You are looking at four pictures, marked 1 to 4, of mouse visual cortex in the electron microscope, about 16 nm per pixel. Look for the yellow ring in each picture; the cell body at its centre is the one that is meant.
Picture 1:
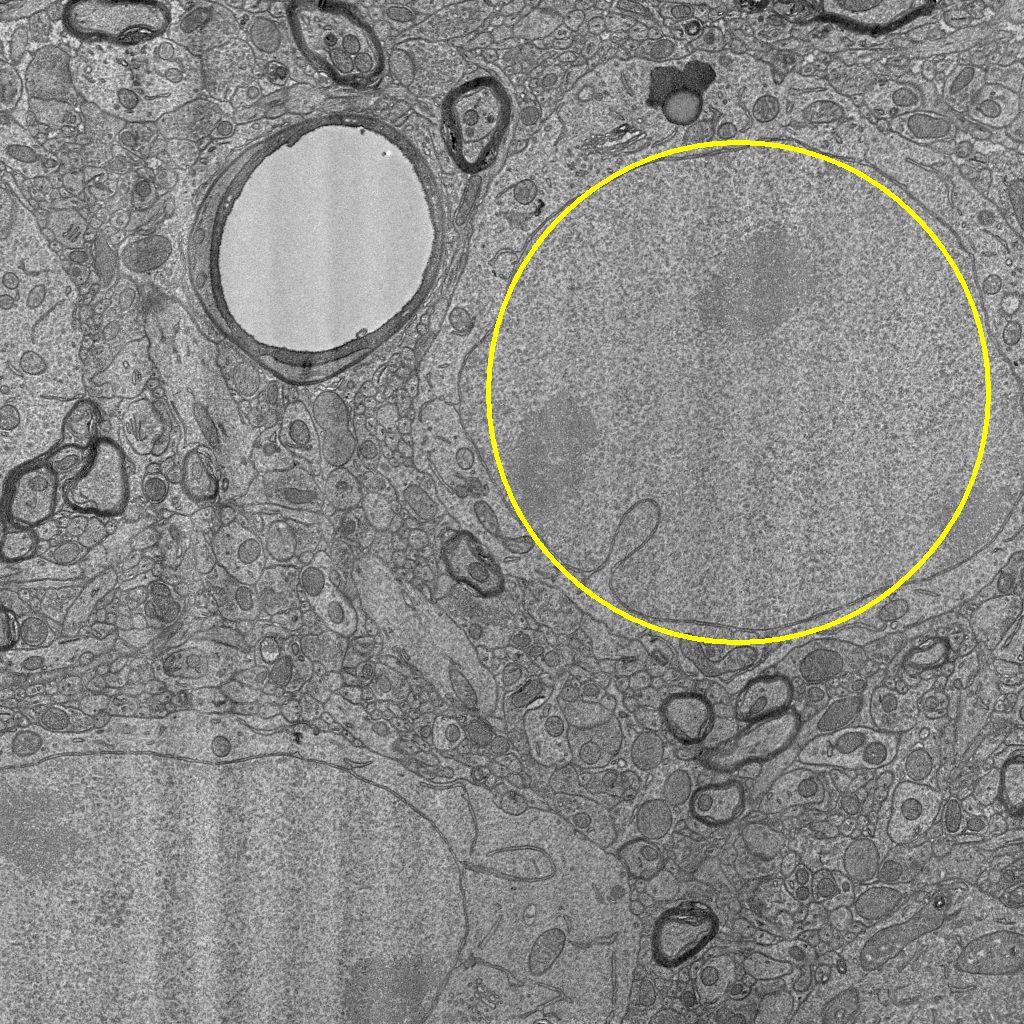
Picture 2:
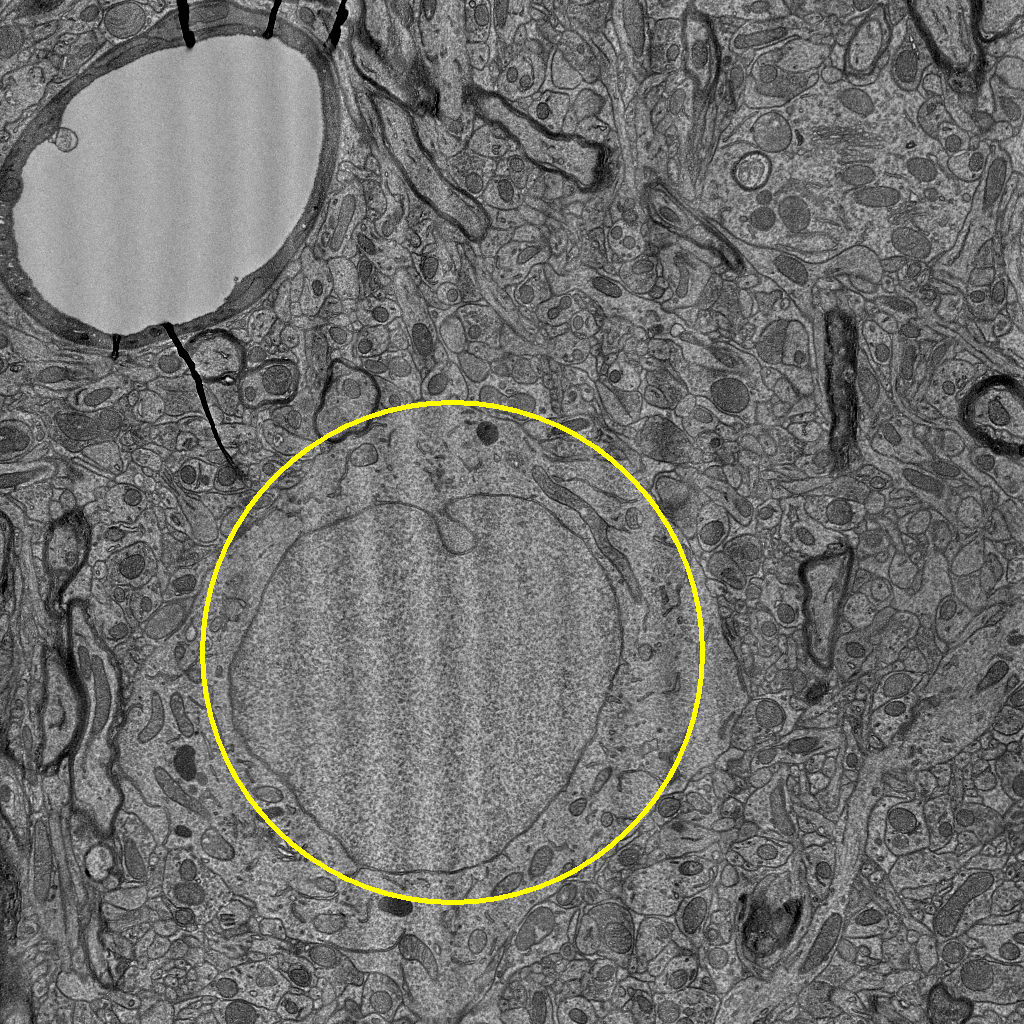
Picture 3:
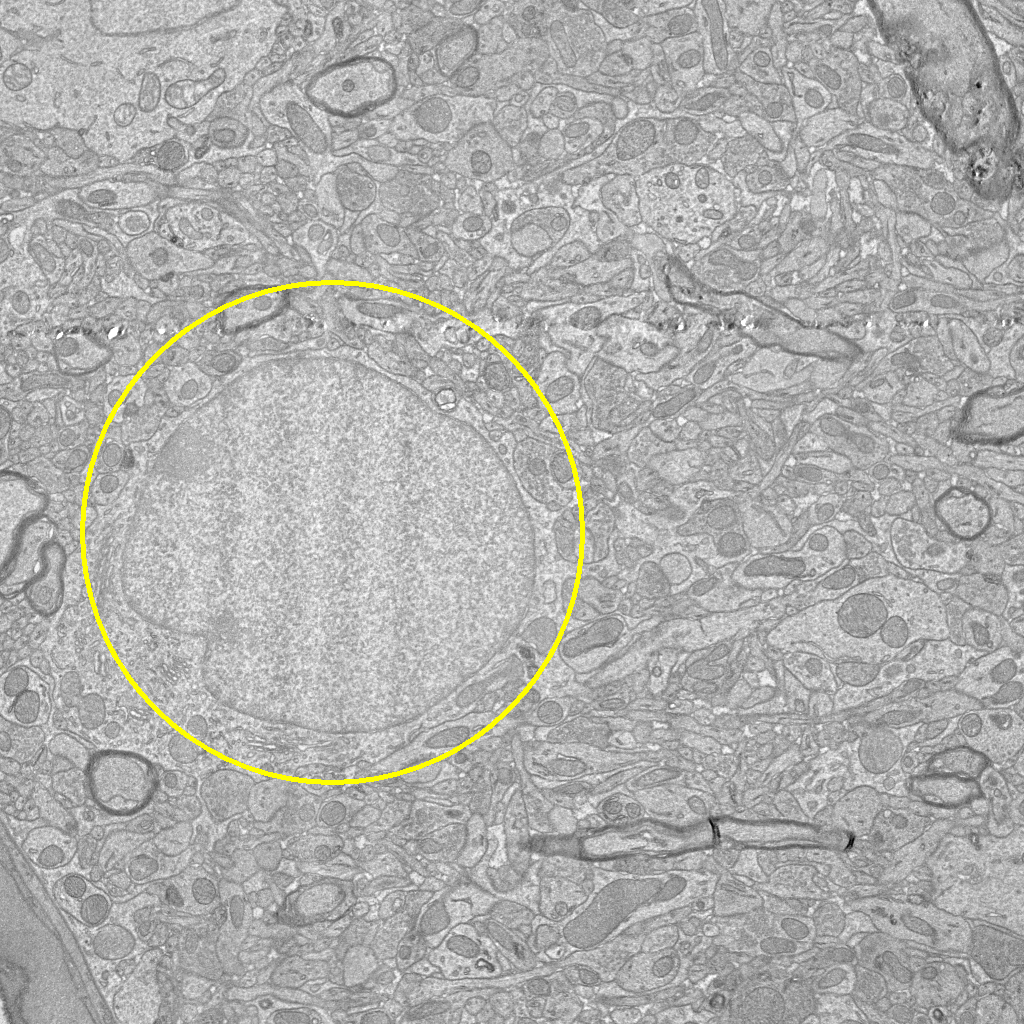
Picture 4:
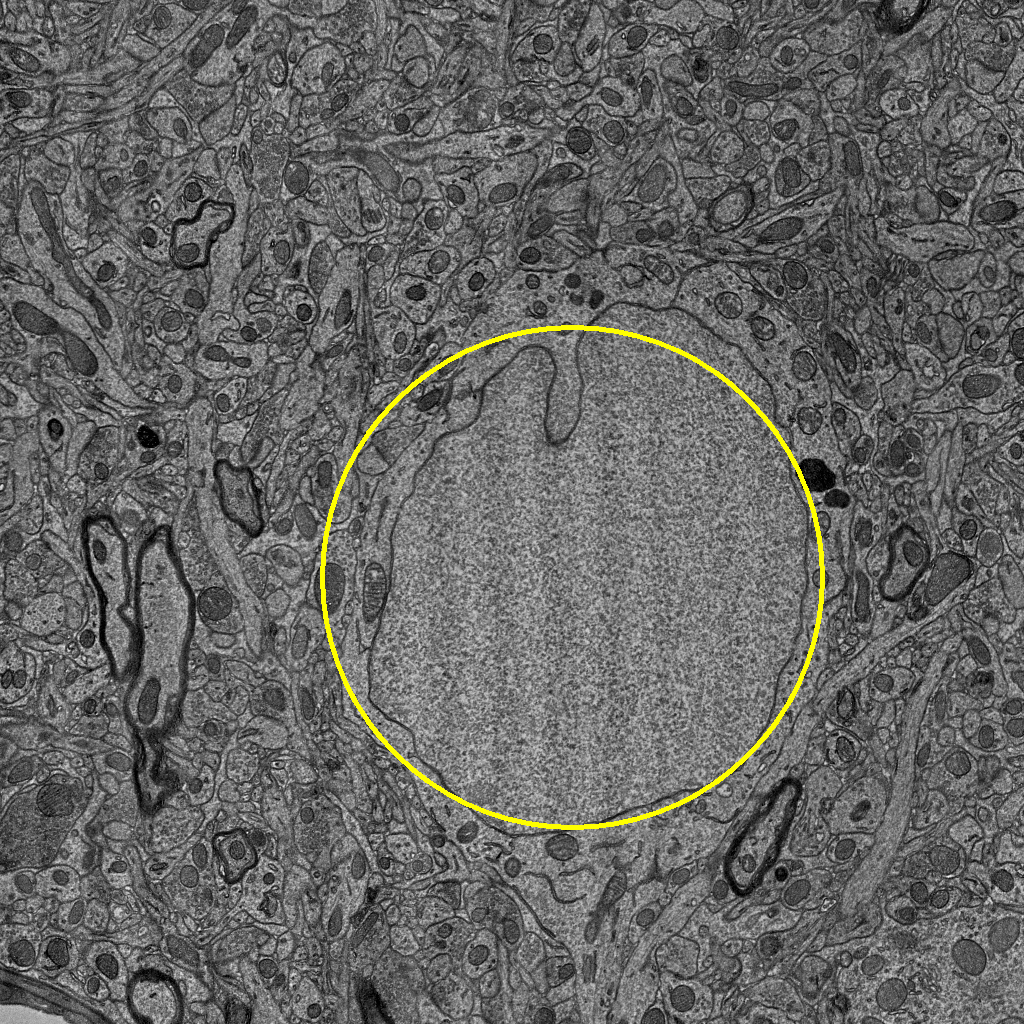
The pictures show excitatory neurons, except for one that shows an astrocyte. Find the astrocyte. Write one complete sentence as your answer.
Picture 3 is the one that shows the astrocyte.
